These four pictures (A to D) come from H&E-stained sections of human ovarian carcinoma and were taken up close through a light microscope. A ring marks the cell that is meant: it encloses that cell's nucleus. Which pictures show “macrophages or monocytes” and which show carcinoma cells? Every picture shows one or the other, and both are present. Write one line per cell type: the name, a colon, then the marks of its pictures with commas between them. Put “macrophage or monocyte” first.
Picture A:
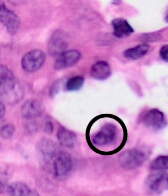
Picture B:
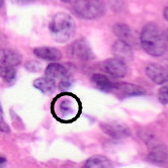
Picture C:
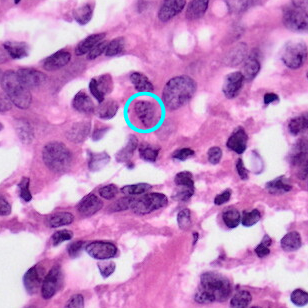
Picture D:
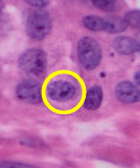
macrophage or monocyte: A, B, D
carcinoma cell: C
